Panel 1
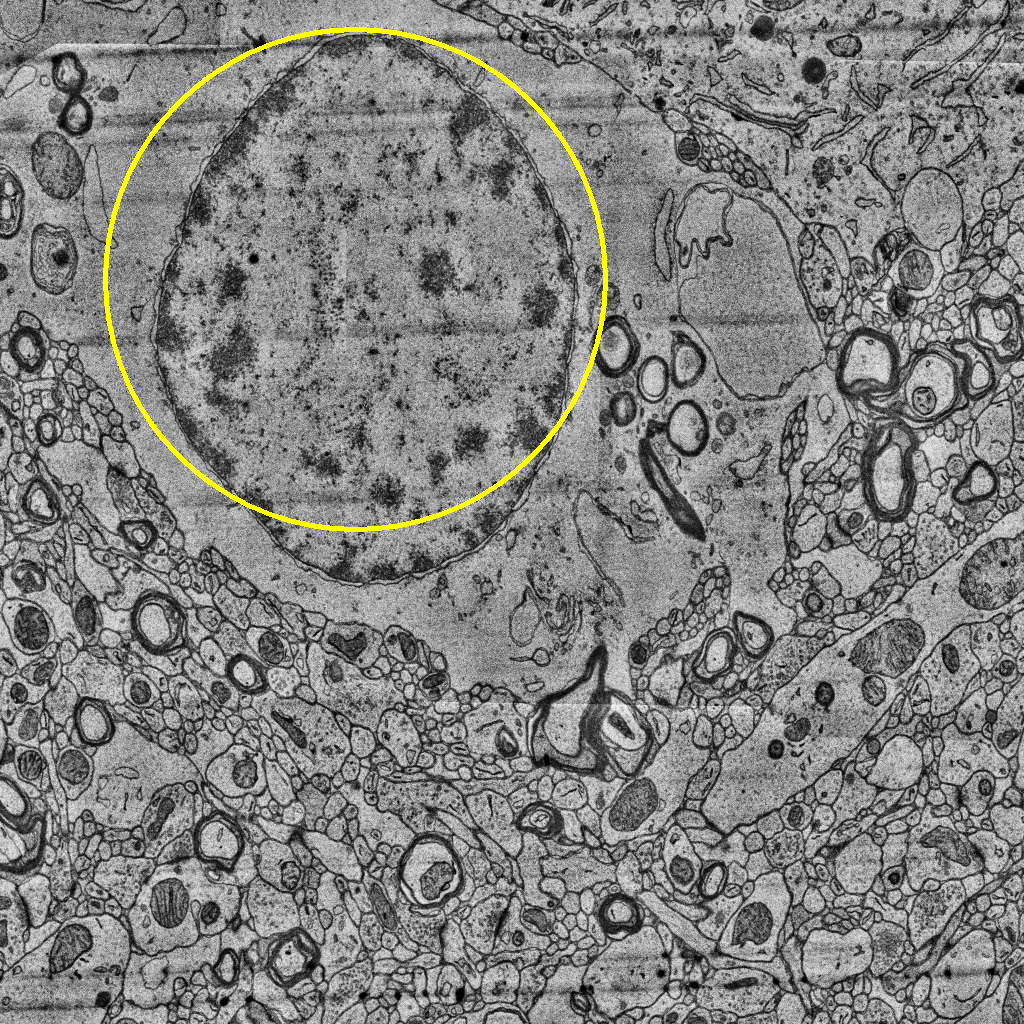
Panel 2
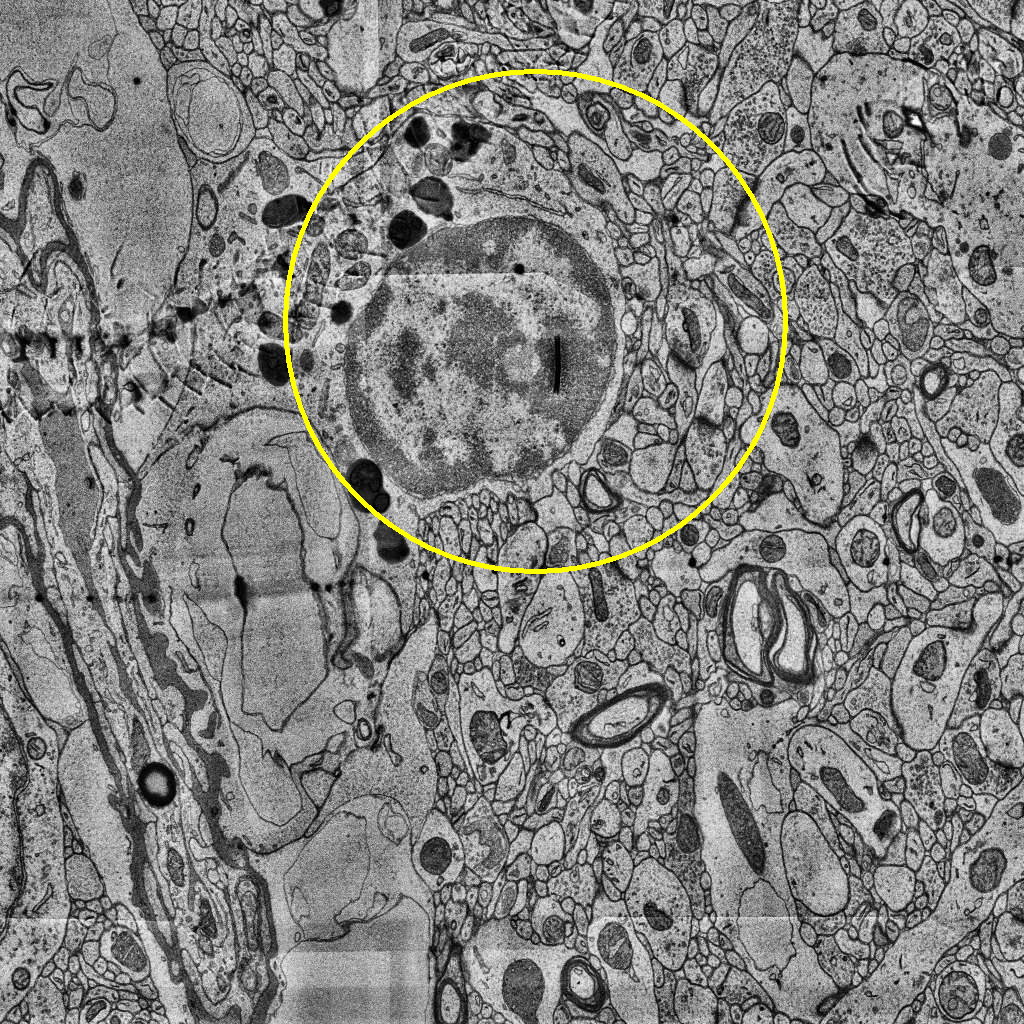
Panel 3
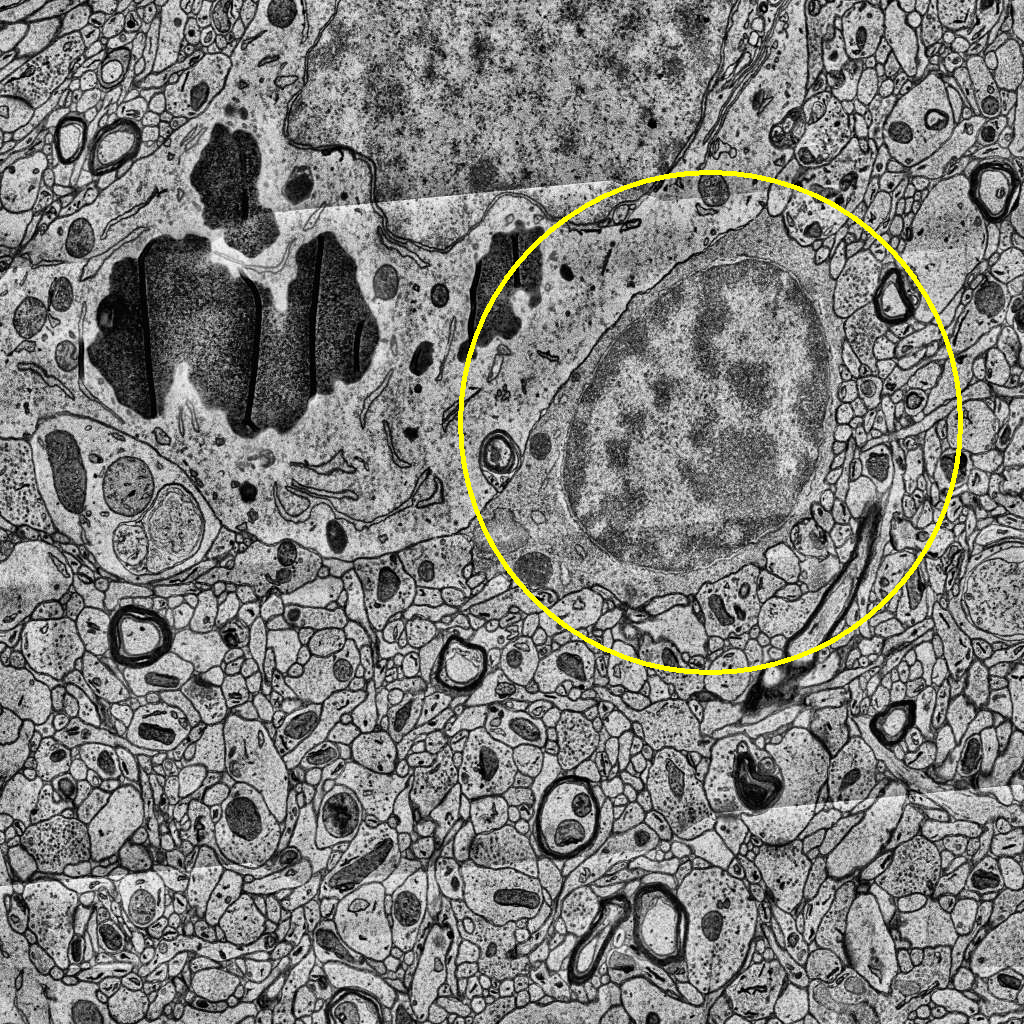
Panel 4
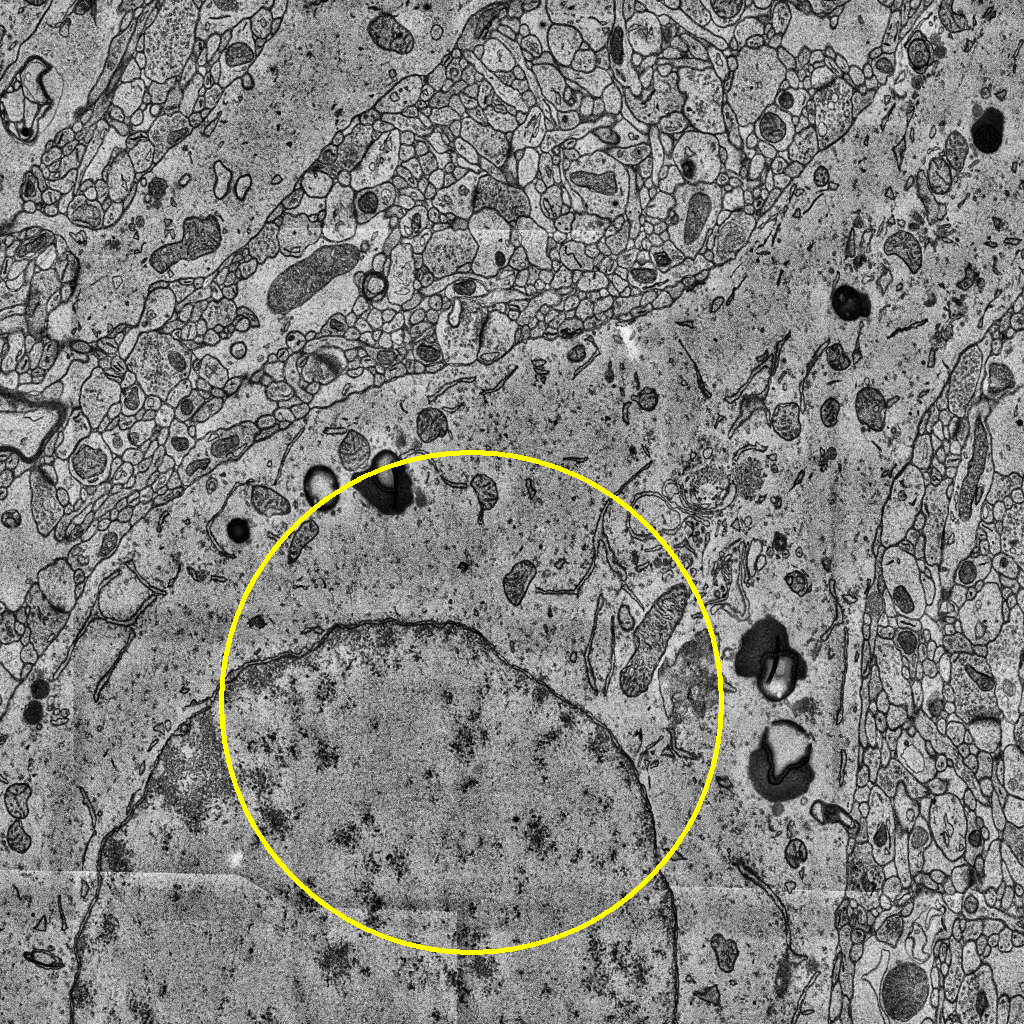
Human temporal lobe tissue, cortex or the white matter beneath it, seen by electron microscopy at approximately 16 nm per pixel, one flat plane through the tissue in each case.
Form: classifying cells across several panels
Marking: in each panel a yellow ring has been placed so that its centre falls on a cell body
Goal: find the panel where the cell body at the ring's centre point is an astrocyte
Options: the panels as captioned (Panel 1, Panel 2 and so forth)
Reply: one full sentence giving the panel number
Panel 1 shows the wanted cell, with the centre of its ring lying inside it.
